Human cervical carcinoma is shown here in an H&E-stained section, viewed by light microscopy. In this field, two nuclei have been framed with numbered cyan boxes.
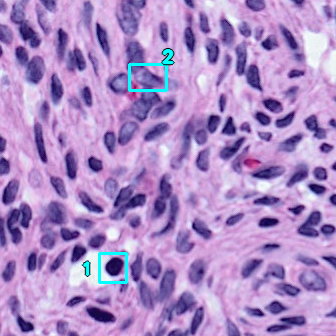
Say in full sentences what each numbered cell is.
Cell 1 is a lymphocyte and cell 2 is an endothelial cell.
